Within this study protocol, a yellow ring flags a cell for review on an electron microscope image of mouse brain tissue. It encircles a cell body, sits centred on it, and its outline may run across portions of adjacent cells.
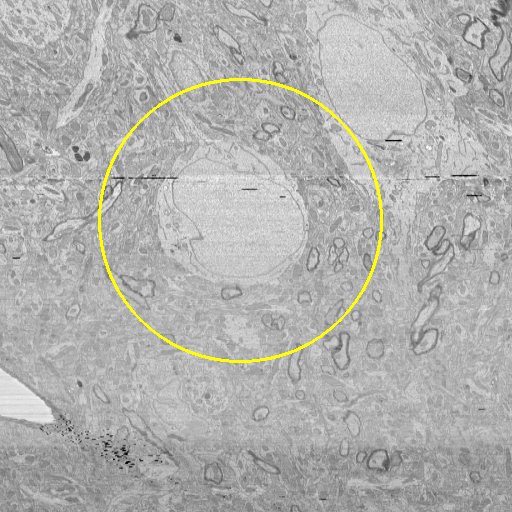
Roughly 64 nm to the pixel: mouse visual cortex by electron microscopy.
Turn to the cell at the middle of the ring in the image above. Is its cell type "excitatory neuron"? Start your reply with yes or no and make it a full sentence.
Yes, the cell at the ring's centre in the image above has that cell type.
